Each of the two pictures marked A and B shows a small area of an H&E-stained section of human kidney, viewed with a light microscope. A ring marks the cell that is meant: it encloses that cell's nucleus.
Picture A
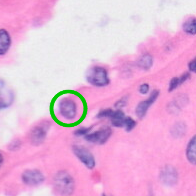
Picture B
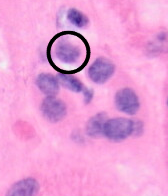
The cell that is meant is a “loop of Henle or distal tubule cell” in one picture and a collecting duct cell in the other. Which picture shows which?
A: loop of Henle or distal tubule cell
B: collecting duct cell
